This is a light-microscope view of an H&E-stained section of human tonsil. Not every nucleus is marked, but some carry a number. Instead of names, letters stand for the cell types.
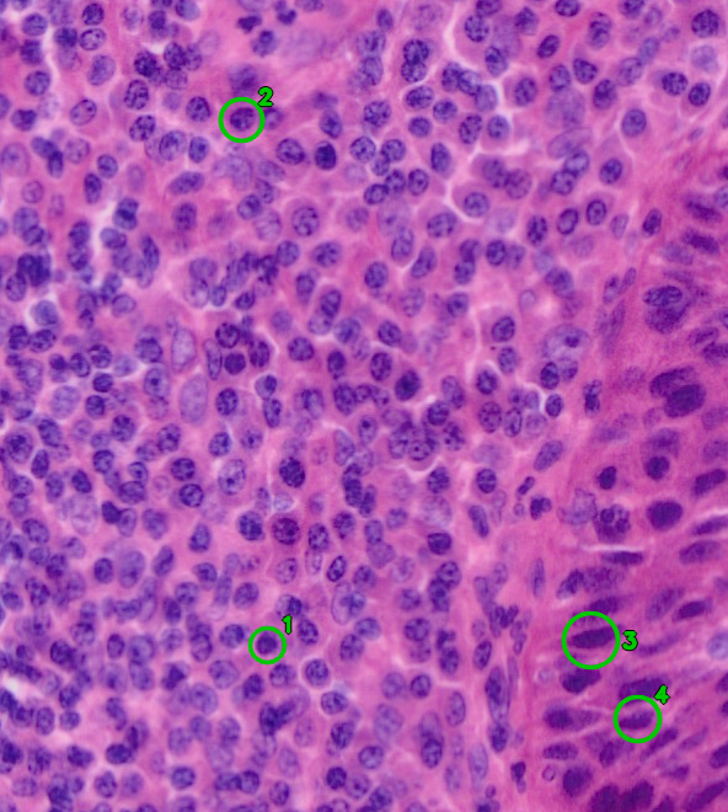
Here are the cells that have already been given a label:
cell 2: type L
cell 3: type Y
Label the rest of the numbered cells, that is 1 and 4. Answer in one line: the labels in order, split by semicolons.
type L; type Y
